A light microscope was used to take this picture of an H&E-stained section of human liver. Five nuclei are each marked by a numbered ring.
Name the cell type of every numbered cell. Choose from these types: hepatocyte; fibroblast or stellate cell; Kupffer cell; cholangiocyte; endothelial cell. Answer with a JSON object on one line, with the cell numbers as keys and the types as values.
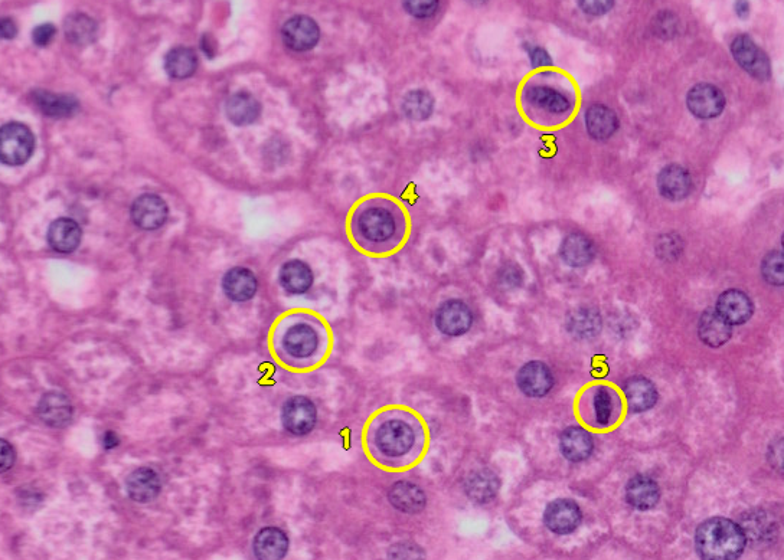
{"1": "hepatocyte", "2": "hepatocyte", "3": "fibroblast or stellate cell", "4": "hepatocyte", "5": "fibroblast or stellate cell"}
